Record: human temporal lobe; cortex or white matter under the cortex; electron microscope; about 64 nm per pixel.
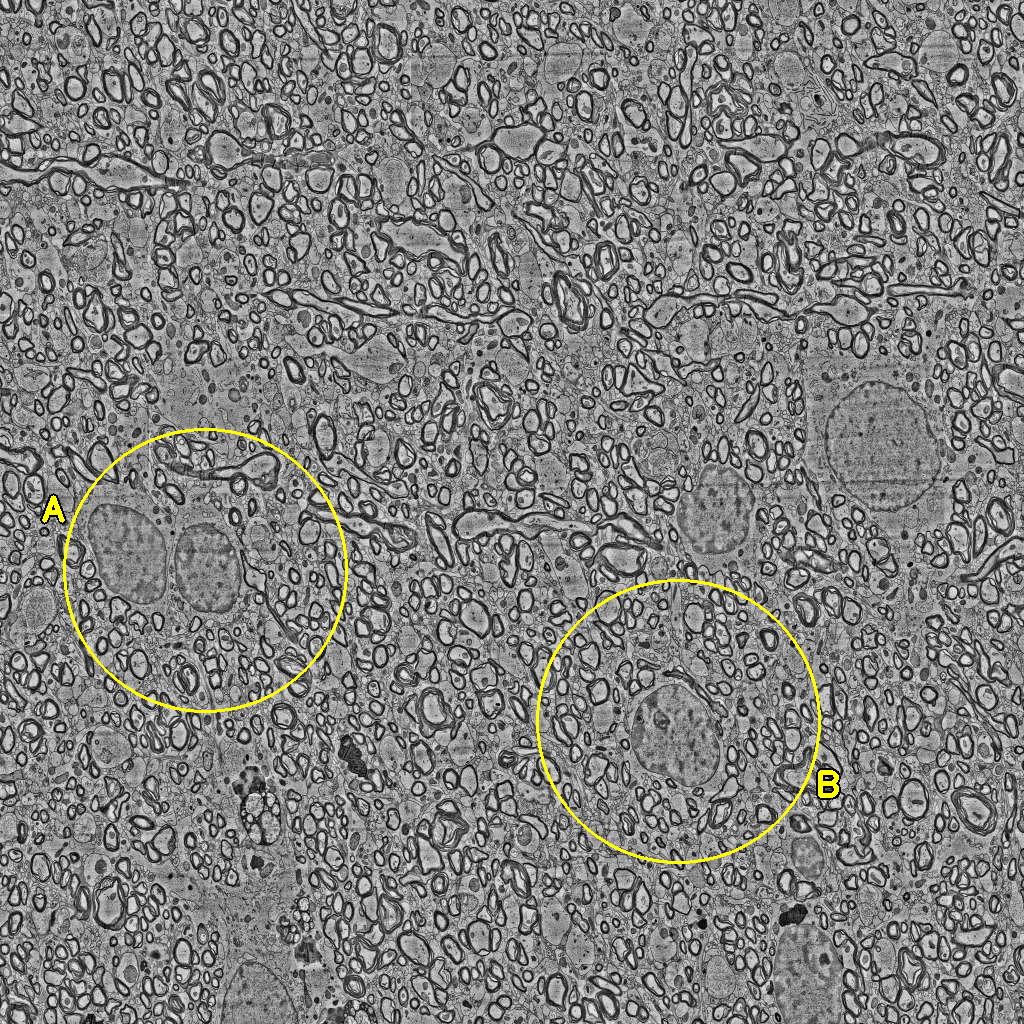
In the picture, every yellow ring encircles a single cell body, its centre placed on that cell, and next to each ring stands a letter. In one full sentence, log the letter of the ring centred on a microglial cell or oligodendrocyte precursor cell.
The ring with the requested cell at its centre bears the letter B.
